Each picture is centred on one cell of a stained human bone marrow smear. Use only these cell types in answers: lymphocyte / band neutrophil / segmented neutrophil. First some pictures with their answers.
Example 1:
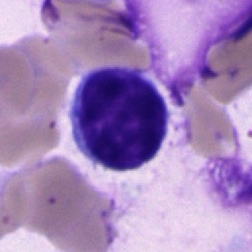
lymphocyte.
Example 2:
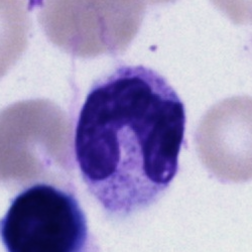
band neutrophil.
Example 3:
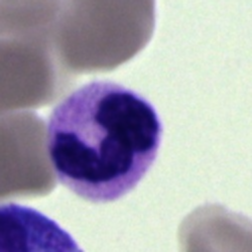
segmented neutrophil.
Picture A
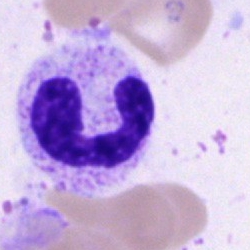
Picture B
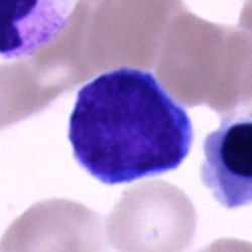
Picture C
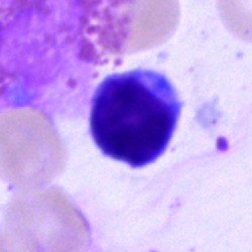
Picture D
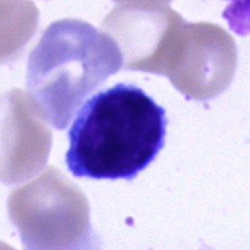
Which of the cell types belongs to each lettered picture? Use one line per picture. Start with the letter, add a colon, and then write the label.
A: band neutrophil.
B: lymphocyte.
C: lymphocyte.
D: lymphocyte.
